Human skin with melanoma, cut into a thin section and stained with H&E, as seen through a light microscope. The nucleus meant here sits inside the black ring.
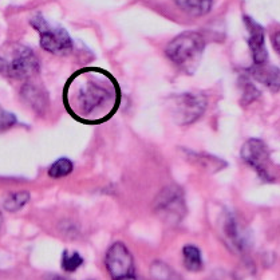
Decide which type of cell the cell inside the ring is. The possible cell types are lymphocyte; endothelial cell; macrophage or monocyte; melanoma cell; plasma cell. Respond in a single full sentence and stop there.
In short, the cell inside the ring on this section is a melanoma cell.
